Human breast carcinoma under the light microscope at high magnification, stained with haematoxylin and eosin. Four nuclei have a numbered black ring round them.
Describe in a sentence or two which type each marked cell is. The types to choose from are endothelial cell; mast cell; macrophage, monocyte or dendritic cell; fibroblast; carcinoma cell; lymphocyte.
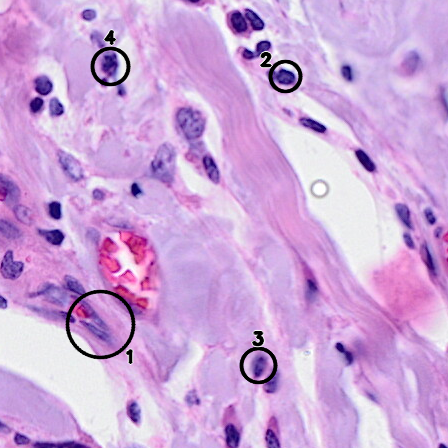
Cell 1 is an endothelial cell. Cells 2, 3 and 4 are lymphocytes.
